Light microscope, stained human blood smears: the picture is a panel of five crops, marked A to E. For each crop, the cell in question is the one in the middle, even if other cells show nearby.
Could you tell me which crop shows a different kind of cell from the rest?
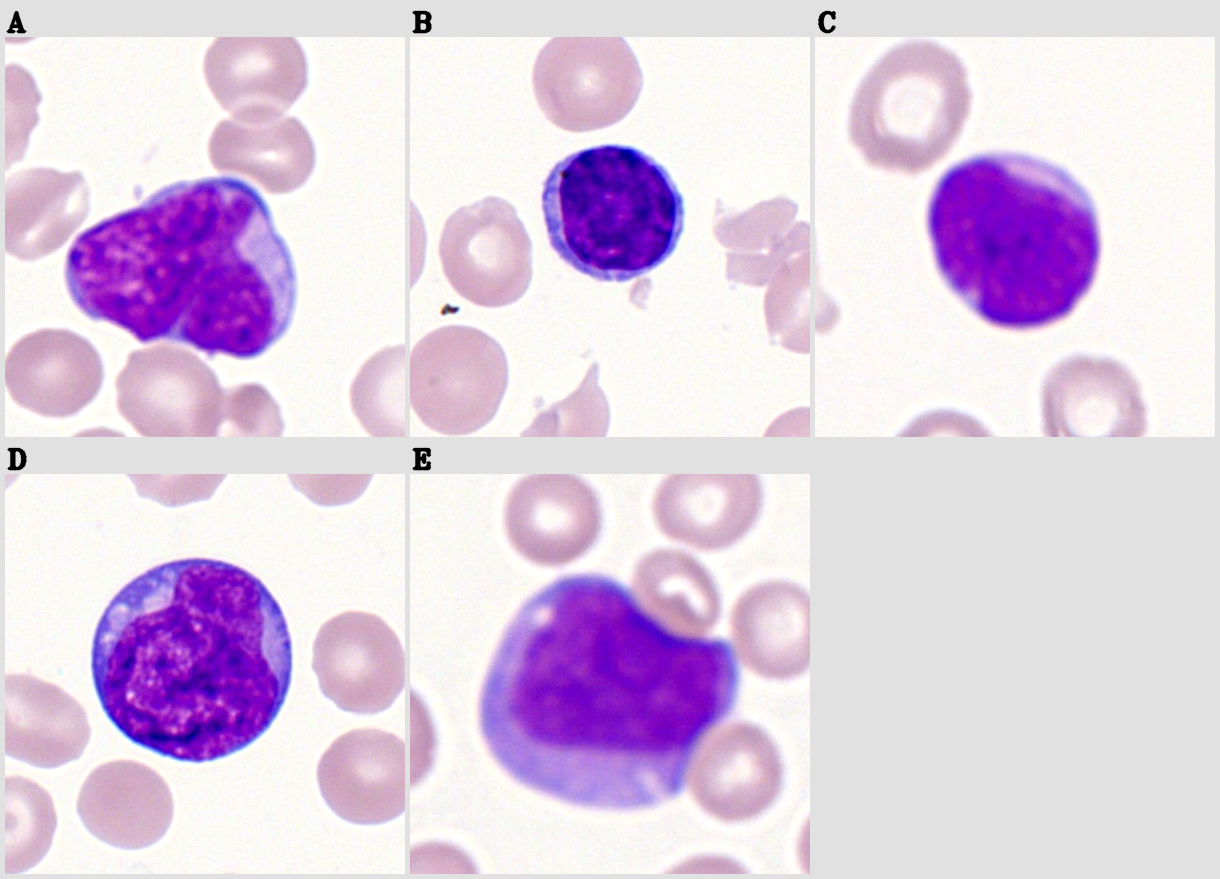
B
